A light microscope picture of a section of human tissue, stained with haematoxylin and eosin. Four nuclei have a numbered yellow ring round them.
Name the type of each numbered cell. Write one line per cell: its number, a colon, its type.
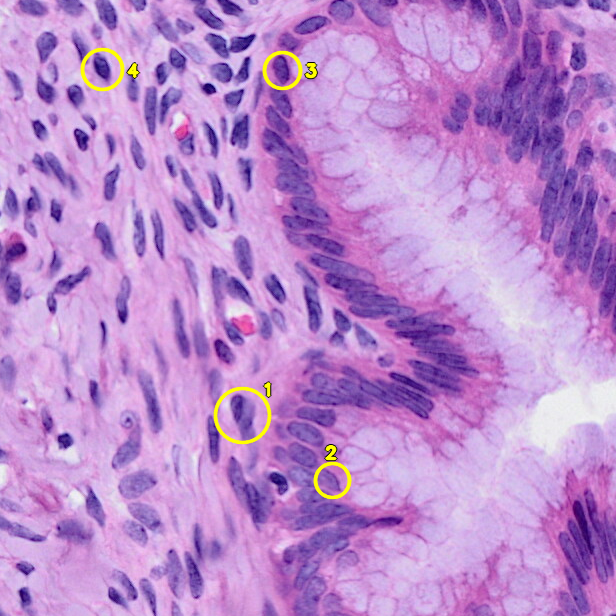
1: fibroblast
2: secretory epithelial cell
3: secretory epithelial cell
4: fibroblast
